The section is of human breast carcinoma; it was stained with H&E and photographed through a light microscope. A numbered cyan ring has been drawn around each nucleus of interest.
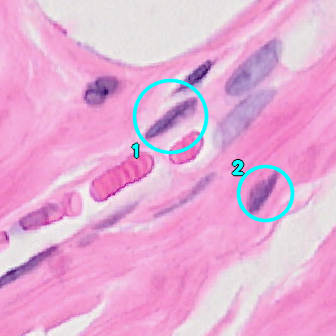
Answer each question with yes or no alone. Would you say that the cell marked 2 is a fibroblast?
yes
